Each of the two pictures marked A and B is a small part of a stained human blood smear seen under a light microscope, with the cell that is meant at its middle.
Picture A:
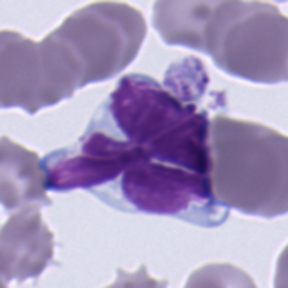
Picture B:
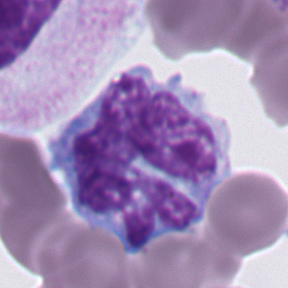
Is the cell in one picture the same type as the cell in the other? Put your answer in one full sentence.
No. Picture A shows a large granular lymphocyte, but picture B shows a monocyte.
